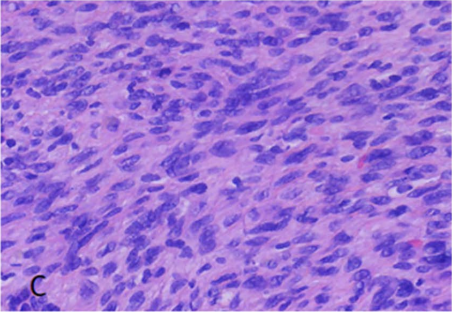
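This is a tumor made of tightly packed spindle-shaped cells, seen at high power. The cells are elongated with tapering ends and pink cytoplasm whose borders are hard to make out. Their nuclei are oval to cigar-shaped, purple, and crowded closely together, streaming in roughly the same direction. The nuclei vary in size and shape, and some are enlarged and darker than their neighbours, a picture of moderate nuclear atypia. Only a few red blood cells are scattered among them.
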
